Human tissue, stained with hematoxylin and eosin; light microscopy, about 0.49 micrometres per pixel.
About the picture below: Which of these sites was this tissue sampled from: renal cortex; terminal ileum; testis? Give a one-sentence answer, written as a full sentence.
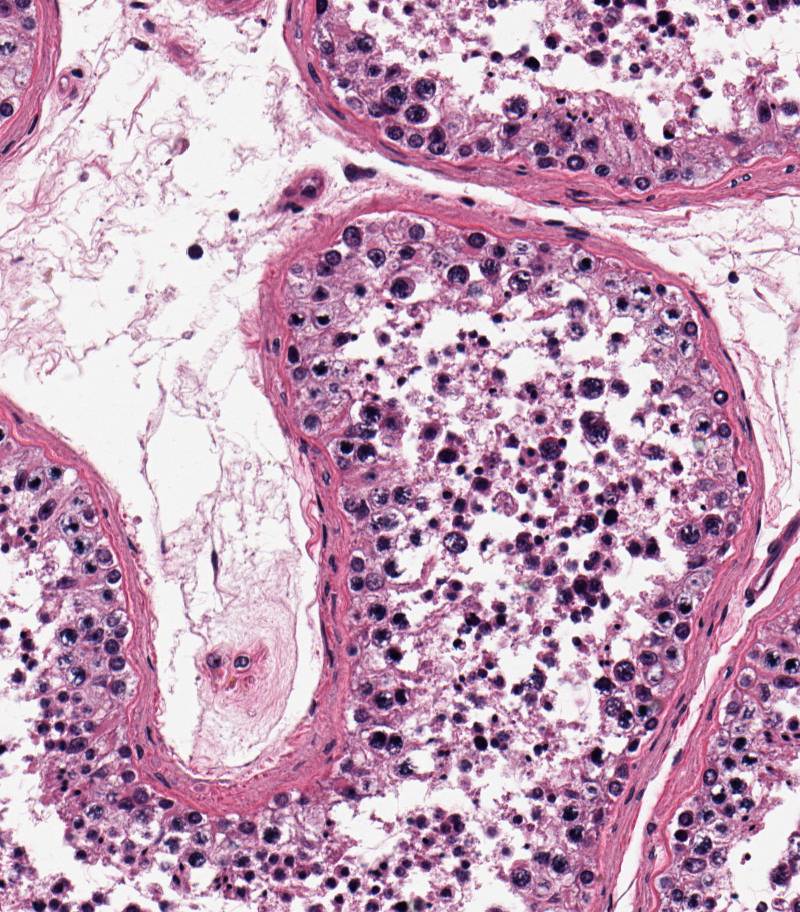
This histological section comes from the testis.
